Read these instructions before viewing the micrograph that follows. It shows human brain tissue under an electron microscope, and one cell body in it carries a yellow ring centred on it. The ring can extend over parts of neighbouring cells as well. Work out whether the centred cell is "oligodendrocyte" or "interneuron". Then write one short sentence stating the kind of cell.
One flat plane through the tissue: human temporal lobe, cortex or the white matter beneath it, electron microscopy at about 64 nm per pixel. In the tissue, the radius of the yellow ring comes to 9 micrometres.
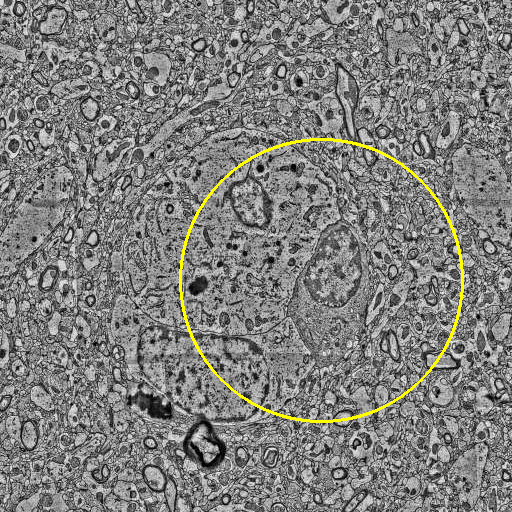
The ringed cell is an oligodendrocyte.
